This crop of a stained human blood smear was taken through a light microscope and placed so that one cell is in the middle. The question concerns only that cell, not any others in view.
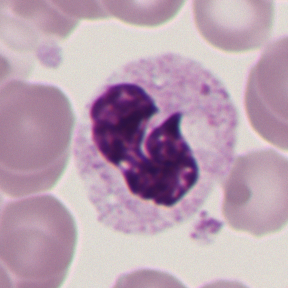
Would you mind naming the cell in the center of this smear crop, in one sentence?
In the middle of this smear crop, the cell is a segmented neutrophil.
